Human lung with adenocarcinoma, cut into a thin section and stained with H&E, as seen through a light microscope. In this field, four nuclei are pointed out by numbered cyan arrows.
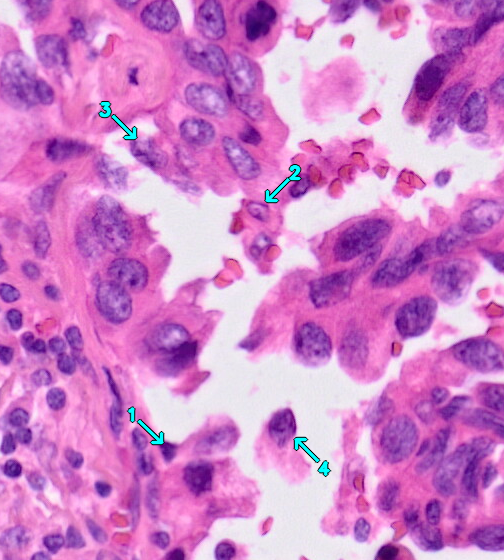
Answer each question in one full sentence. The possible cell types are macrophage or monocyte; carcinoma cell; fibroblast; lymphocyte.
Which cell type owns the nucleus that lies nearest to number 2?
The cell nearest to number 2 is a macrophage or monocyte.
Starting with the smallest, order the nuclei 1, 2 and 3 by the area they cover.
By area, going up from the smallest, they rank 1, 2, 3.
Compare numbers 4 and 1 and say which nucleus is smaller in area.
Number 1 is smaller, since number 4 takes up about 3 times as much area.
